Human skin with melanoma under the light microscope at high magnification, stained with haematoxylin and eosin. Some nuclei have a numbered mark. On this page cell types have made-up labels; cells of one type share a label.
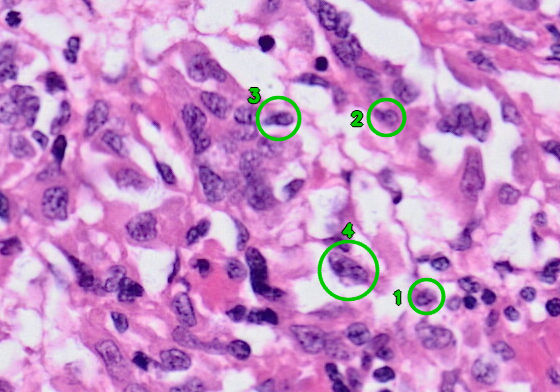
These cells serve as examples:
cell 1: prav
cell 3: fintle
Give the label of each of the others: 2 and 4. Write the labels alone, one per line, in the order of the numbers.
fintle
fintle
